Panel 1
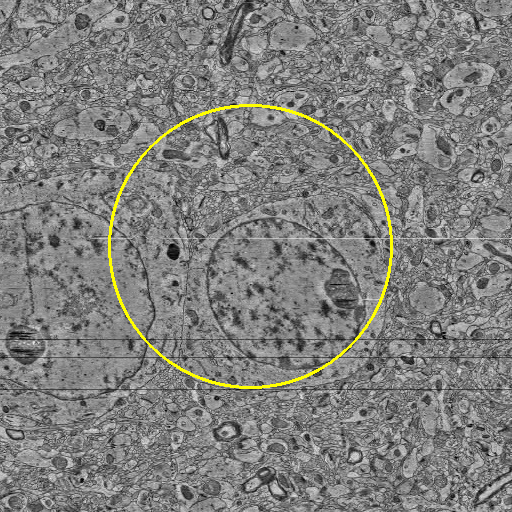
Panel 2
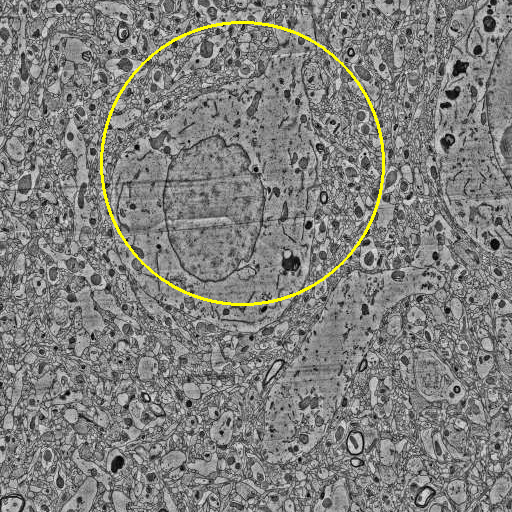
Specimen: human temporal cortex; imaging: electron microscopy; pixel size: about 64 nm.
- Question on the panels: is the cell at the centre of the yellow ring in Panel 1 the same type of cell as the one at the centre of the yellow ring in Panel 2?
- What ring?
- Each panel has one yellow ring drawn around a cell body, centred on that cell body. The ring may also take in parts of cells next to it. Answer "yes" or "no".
yes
